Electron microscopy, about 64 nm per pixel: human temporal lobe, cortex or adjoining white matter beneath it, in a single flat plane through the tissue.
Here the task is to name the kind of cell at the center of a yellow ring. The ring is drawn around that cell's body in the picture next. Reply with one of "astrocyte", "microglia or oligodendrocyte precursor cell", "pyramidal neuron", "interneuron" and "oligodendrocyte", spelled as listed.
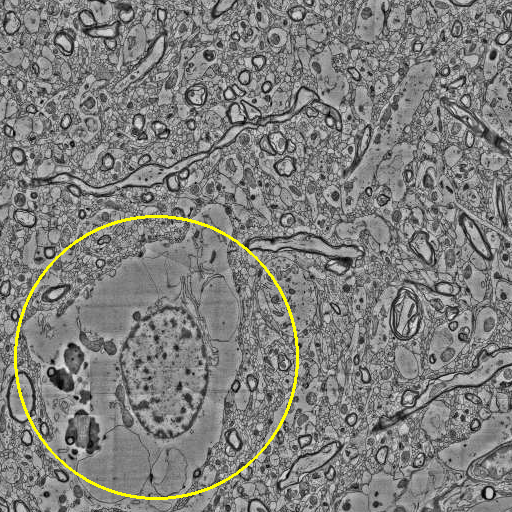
astrocyte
